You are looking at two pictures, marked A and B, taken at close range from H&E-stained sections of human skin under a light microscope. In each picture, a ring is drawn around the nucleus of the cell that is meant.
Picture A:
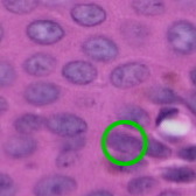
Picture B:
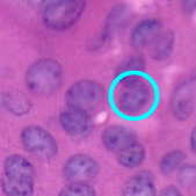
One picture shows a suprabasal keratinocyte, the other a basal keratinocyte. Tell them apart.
A: basal keratinocyte
B: suprabasal keratinocyte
